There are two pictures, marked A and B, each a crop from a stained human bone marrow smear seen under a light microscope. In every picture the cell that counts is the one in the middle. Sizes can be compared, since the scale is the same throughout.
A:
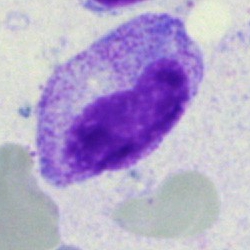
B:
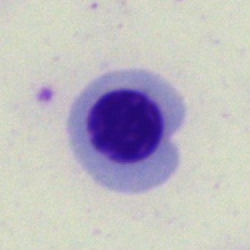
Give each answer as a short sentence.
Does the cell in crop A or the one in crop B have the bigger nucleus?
The nucleus in crop A is larger, with about 2 times the area of the one in crop B.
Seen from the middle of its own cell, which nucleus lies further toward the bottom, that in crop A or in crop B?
Seen within its cell, the nucleus in crop A lies further toward the bottom.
